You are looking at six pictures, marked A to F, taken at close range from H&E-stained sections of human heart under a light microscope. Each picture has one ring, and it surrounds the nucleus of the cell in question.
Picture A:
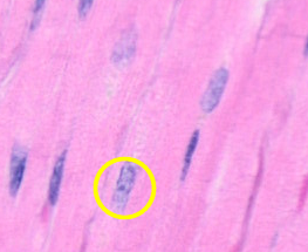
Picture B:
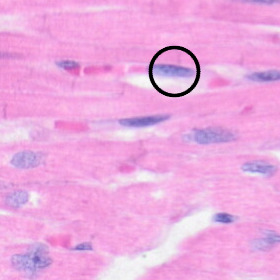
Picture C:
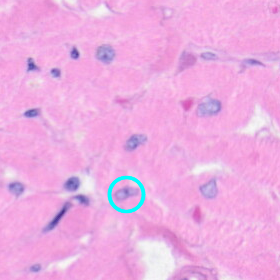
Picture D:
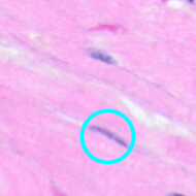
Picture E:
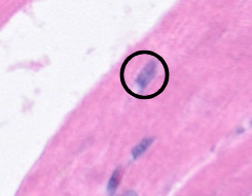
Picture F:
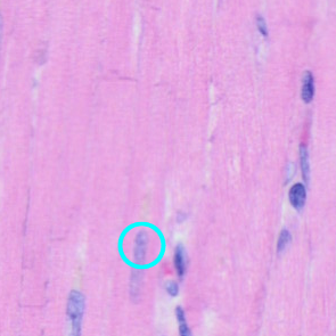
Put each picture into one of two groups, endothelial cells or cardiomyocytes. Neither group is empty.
A: cardiomyocyte
B: endothelial cell
C: cardiomyocyte
D: endothelial cell
E: endothelial cell
F: cardiomyocyte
